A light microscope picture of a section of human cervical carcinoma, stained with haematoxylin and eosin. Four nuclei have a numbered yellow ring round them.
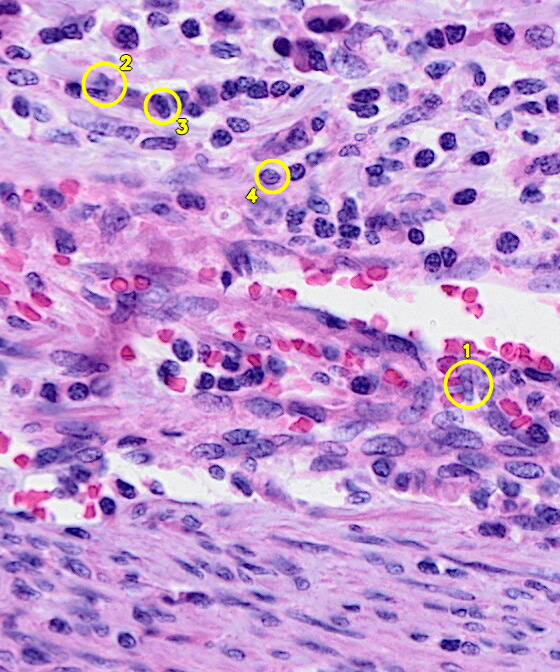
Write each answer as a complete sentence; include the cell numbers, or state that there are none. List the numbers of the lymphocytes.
The cells tagged 2, 3 and 4 are lymphocytes in this tissue section.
